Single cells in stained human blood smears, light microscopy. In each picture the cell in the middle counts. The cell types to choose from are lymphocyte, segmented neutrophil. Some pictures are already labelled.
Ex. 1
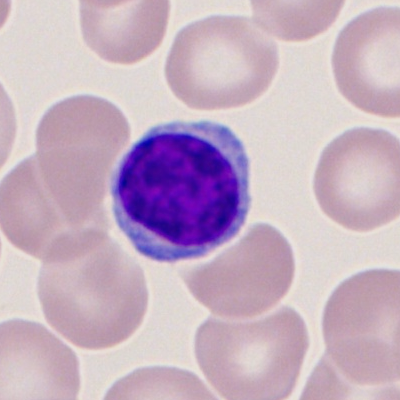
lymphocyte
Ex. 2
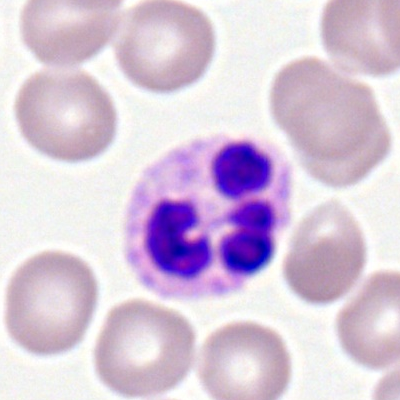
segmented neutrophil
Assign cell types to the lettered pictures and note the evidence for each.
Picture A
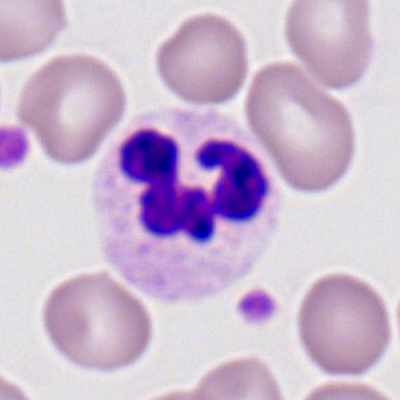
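segmented neutrophil: The cytoplasm is abundant and pale pinkish-lilac.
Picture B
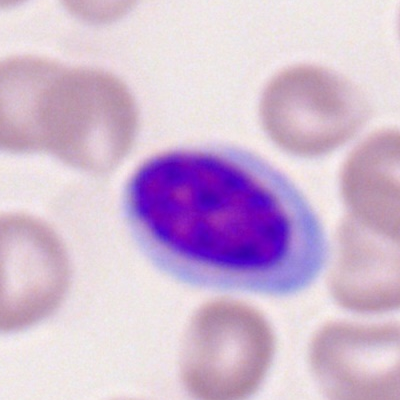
lymphocyte: The cytoplasm is scant, forming only a thin rim around the nucleus.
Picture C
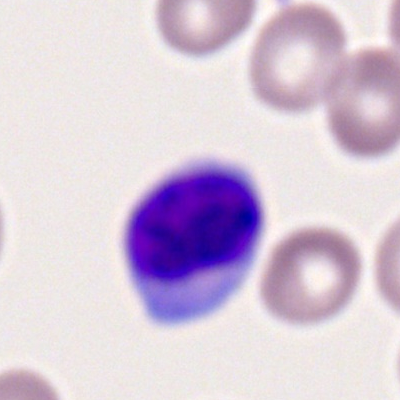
lymphocyte: The nucleus fills most of the cell.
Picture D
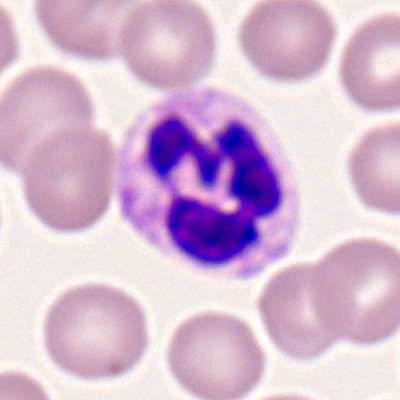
segmented neutrophil: The nucleus is divided into several distinct lobes.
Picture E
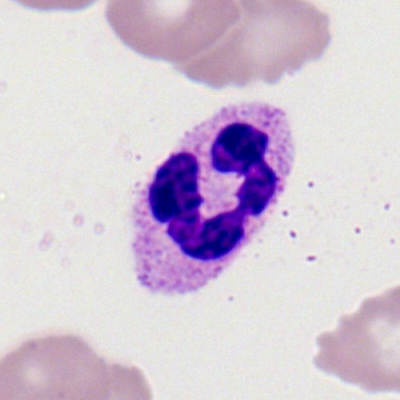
segmented neutrophil: The cytoplasm is plentiful and pale pink-lilac.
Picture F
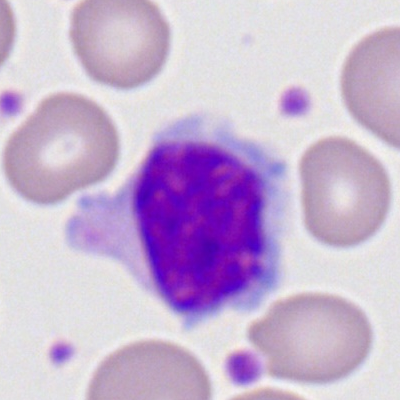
lymphocyte: The nucleus fills most of the cell and lies toward its right side.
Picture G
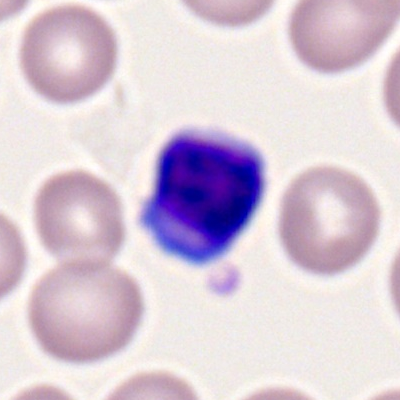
lymphocyte: The nucleus fills most of the cell.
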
